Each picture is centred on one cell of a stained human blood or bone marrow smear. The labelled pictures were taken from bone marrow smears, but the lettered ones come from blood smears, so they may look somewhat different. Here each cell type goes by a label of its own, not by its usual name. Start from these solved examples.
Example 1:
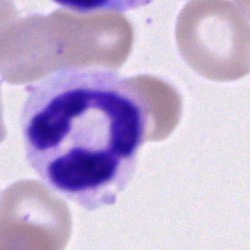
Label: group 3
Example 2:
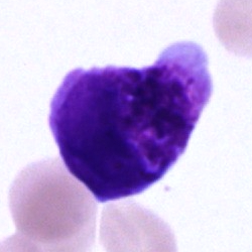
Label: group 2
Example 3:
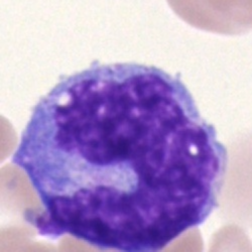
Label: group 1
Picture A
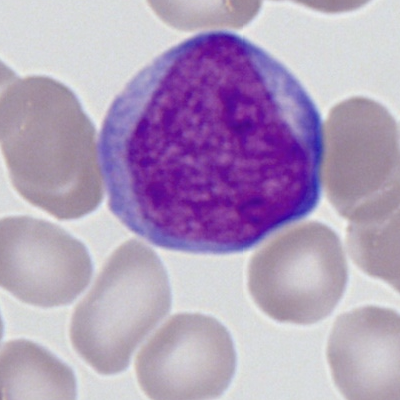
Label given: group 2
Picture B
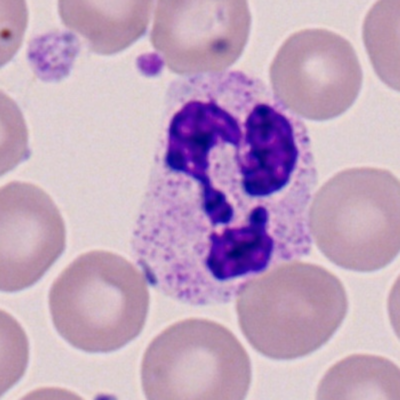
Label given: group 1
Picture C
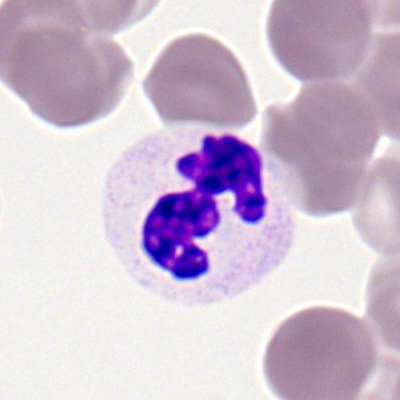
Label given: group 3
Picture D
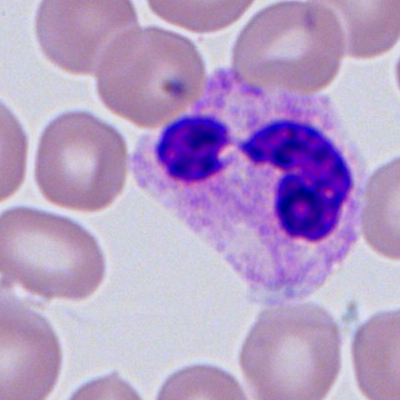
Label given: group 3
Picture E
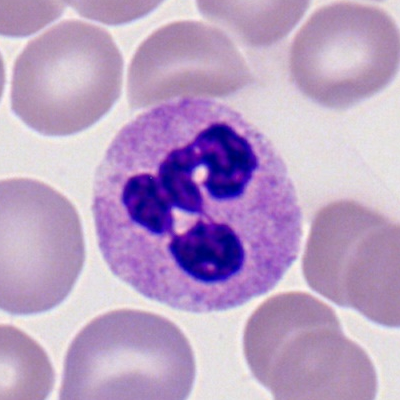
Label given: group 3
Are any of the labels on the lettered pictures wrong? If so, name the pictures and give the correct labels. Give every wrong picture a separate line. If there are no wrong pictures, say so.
B should be group 3, not group 1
